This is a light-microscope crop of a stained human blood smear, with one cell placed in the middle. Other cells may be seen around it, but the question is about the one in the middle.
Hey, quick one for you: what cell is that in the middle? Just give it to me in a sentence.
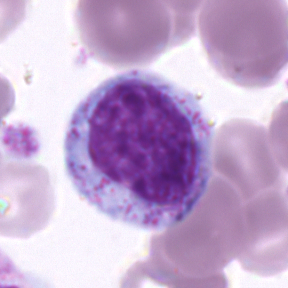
The centrally placed cell is classified as a myelocyte.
